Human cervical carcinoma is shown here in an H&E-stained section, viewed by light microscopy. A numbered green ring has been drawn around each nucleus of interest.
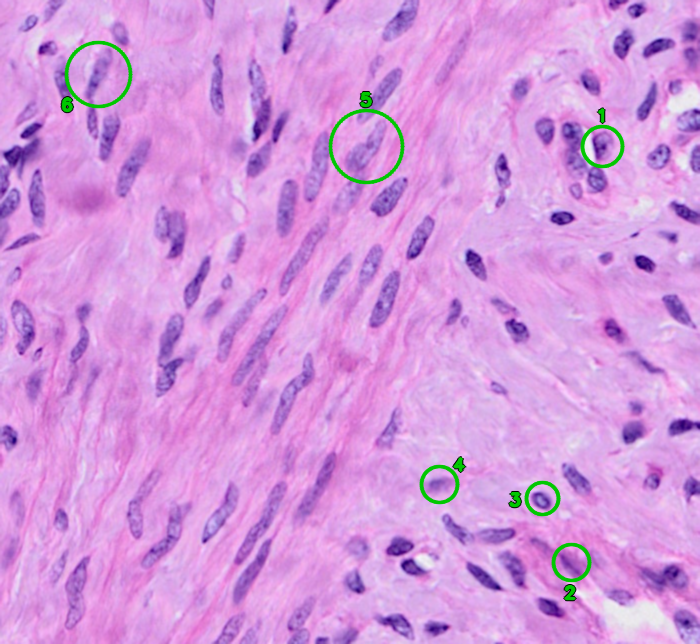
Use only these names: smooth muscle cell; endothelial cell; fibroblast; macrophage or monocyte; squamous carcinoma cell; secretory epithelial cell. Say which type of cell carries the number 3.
smooth muscle cell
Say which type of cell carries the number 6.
fibroblast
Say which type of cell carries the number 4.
smooth muscle cell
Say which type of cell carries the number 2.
endothelial cell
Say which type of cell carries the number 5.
smooth muscle cell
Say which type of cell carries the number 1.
endothelial cell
